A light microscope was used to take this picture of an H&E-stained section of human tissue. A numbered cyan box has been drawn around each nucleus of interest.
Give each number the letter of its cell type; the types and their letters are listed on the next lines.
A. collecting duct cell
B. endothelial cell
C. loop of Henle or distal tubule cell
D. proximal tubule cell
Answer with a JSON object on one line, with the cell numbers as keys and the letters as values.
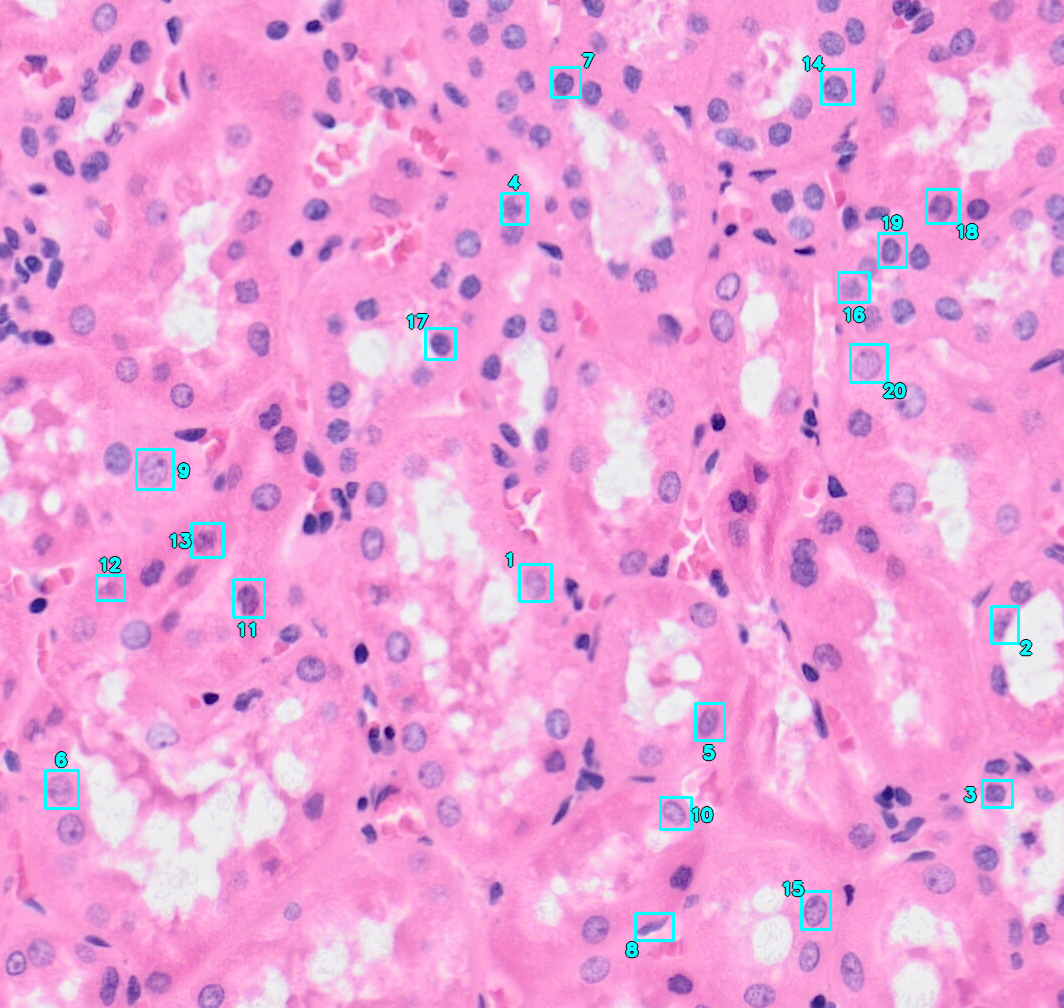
{"1": "D", "2": "C", "3": "C", "4": "C", "5": "D", "6": "D", "7": "C", "8": "B", "9": "D", "10": "D", "11": "D", "12": "D", "13": "D", "14": "C", "15": "D", "16": "C", "17": "C", "18": "D", "19": "C", "20": "D"}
